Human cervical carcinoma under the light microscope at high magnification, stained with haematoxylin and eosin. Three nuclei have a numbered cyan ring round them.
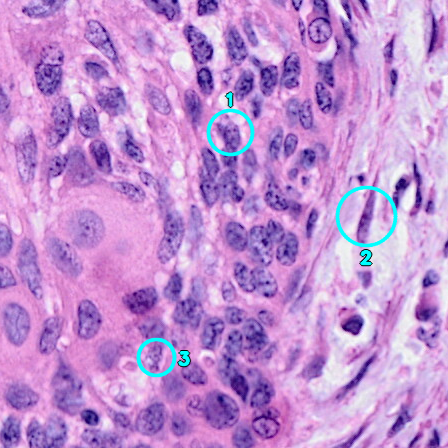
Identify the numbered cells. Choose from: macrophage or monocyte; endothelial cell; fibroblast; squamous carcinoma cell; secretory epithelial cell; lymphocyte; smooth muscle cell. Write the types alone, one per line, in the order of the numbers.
squamous carcinoma cell
fibroblast
squamous carcinoma cell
